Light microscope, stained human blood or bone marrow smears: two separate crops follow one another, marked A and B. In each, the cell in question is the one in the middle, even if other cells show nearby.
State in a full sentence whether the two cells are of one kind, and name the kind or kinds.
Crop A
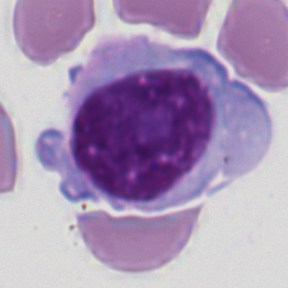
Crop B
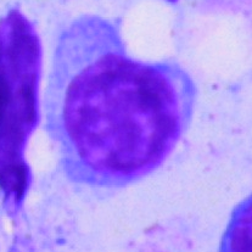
No, crop A contains a plasma cell, and crop B contains a lymphocyte.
